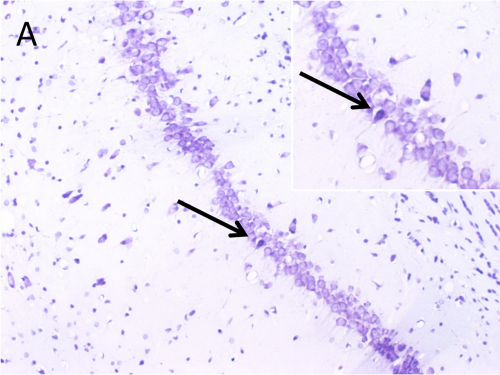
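This is the pyramidal cell layer of the hippocampus, where a band of neuronal cell bodies stained violet runs diagonally across the field. Most of these neurons have round, pale-staining bodies with a visible nucleus and sit closely packed, a few cells deep. Here and there a neuron stands out as smaller, angular and much darker violet, as the arrows point out, and the inset shows one such dark cell among its paler neighbours. Outside the band the neuropil is pale, with scattered small glial nuclei.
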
